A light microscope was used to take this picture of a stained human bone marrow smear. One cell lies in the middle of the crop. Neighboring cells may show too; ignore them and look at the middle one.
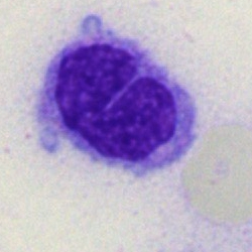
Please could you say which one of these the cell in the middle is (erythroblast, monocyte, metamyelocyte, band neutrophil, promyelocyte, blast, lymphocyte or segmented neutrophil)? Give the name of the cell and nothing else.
monocyte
